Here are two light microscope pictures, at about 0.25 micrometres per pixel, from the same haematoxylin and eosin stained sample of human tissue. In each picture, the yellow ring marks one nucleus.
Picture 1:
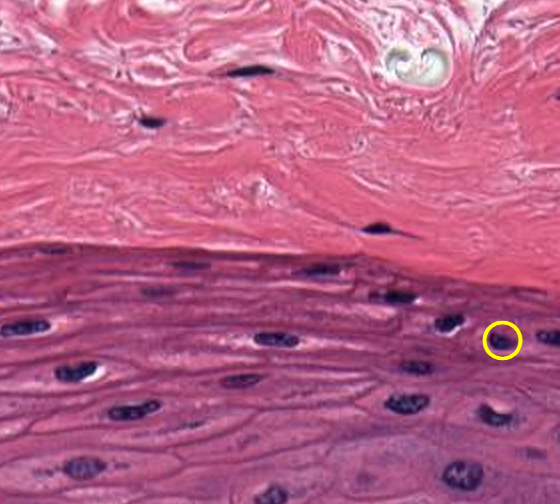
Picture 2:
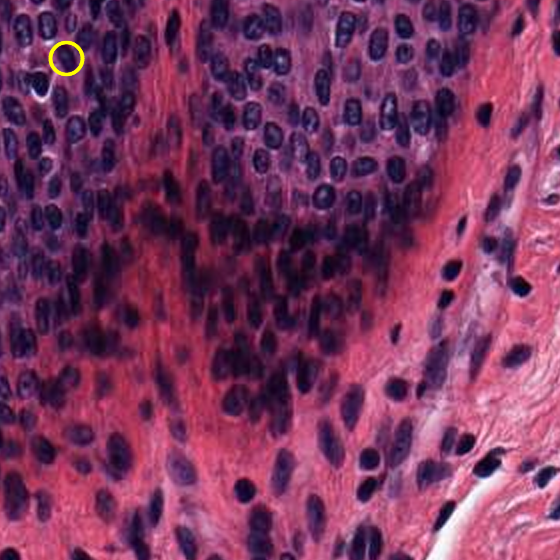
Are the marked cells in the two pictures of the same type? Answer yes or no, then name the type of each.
Yes, both are squamous epithelial cells.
